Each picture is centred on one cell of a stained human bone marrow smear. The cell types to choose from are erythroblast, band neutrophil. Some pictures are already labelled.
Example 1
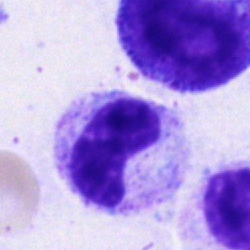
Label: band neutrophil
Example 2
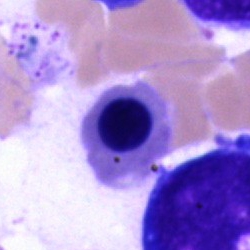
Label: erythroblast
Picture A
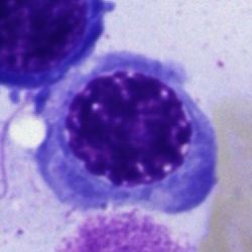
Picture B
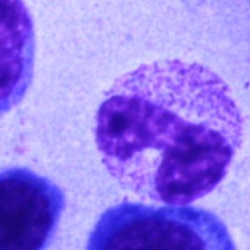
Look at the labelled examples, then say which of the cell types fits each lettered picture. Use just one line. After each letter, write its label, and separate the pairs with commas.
A erythroblast, B band neutrophil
